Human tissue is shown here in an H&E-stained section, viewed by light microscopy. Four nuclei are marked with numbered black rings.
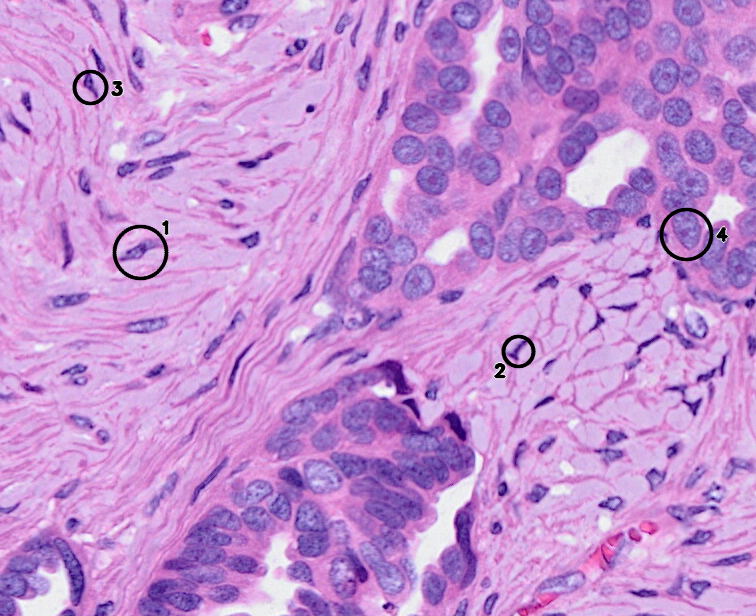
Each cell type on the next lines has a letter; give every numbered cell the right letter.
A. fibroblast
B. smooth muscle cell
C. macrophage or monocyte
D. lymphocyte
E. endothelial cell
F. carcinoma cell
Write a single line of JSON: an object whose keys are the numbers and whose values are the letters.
{"1": "A", "2": "A", "3": "A", "4": "F"}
